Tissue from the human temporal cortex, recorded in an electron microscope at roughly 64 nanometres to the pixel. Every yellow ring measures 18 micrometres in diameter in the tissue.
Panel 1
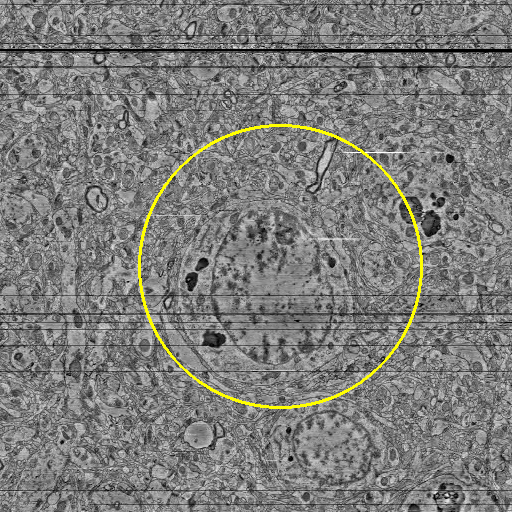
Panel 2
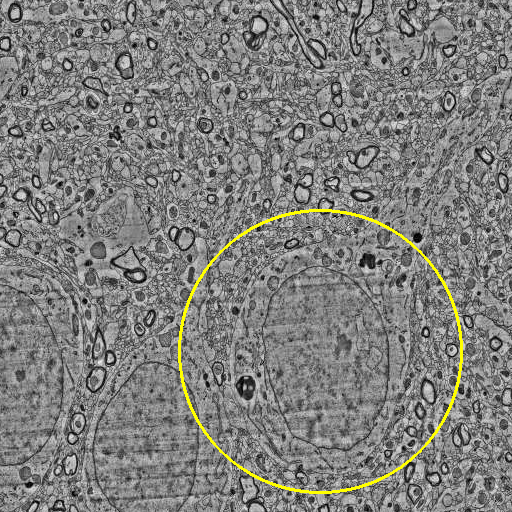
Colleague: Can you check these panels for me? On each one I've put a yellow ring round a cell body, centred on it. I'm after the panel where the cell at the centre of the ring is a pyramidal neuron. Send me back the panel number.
2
